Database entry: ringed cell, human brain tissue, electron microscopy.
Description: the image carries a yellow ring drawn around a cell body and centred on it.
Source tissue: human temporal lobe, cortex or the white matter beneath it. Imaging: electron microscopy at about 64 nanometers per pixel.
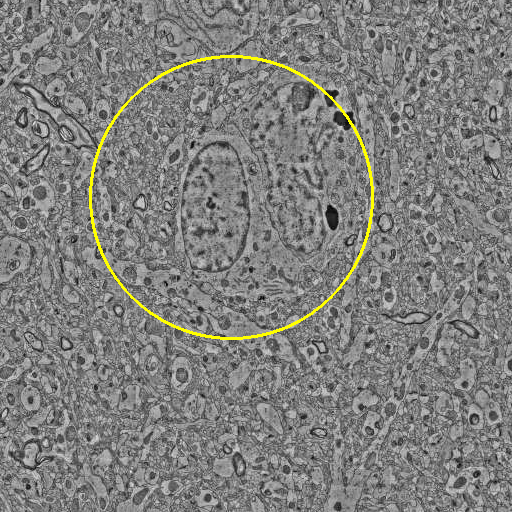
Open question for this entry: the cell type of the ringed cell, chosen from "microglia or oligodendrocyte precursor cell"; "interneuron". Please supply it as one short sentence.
The ringed cell is a microglial cell or oligodendrocyte precursor cell.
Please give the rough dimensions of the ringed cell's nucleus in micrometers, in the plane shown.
In this plane, approximately 8 by 5 micrometers, and clearly longer than it is wide.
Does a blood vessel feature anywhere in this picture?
No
